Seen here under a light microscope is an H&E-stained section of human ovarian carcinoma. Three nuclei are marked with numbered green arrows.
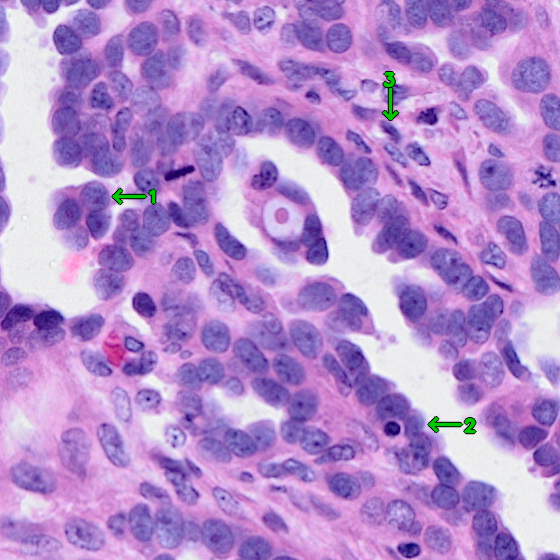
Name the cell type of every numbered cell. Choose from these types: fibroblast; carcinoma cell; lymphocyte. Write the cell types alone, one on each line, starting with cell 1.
carcinoma cell
carcinoma cell
fibroblast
